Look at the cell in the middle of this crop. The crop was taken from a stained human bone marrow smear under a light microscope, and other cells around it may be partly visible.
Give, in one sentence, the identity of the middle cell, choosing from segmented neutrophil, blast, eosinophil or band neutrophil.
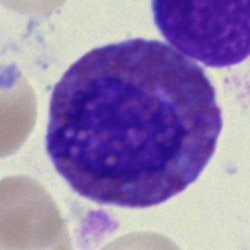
The cell under consideration, at the middle of the crop, is an eosinophil.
